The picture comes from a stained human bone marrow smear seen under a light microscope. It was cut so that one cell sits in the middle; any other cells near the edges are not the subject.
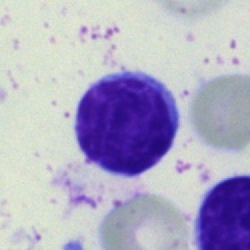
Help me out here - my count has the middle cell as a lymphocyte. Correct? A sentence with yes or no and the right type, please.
Yes, the cell found at the centre of the crop is a lymphocyte.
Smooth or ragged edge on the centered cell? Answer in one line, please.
No projections interrupt the outline; it is smooth all the way round.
